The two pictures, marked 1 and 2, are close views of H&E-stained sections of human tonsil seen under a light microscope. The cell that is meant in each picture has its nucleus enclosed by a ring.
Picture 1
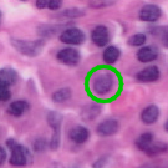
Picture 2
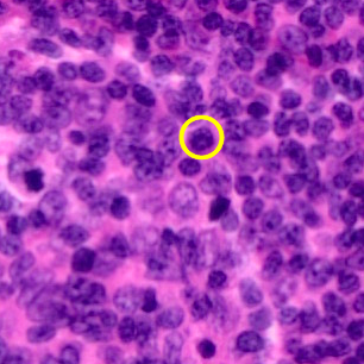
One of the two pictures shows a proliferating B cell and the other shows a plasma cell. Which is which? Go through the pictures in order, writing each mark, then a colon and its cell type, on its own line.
1: plasma cell
2: proliferating B cell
